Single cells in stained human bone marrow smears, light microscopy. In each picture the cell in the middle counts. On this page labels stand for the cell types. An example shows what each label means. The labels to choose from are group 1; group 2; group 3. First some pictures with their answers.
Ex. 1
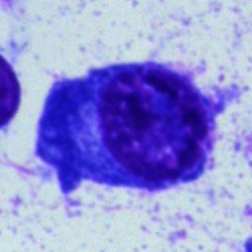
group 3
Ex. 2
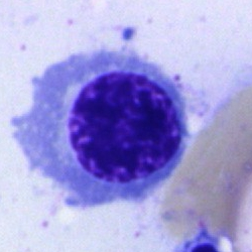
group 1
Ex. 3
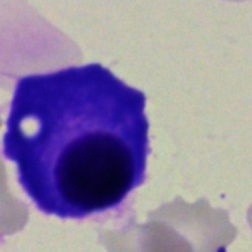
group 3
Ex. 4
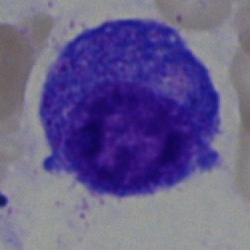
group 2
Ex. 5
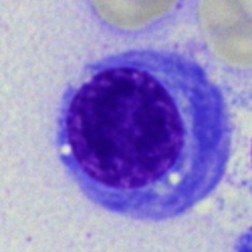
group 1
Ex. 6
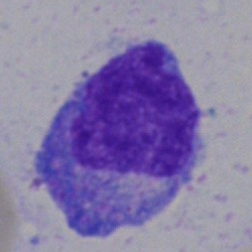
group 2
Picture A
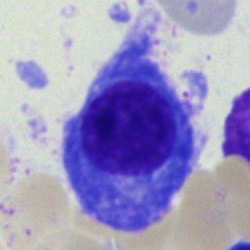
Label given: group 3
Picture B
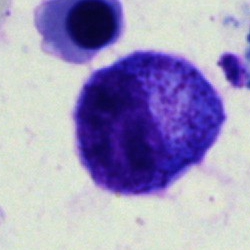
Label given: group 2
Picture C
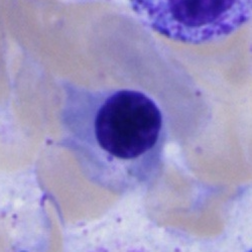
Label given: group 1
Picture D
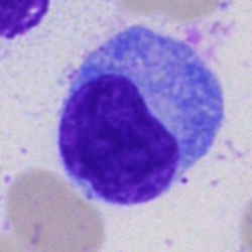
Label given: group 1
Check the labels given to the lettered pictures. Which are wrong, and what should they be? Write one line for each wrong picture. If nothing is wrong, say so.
D: group 3, not group 1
